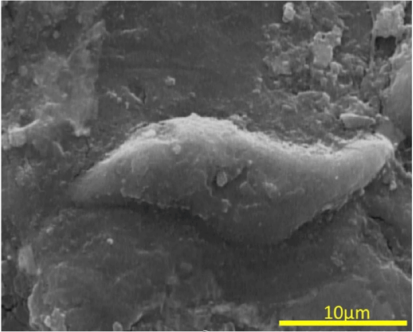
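A single cultured cell is seen by scanning electron microscopy lying on a rough, uneven substrate surface. The cell is elongated and spindle-shaped, its body raised in the middle and tapering towards both ends. Small irregular particles and debris are scattered over the surrounding surface.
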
